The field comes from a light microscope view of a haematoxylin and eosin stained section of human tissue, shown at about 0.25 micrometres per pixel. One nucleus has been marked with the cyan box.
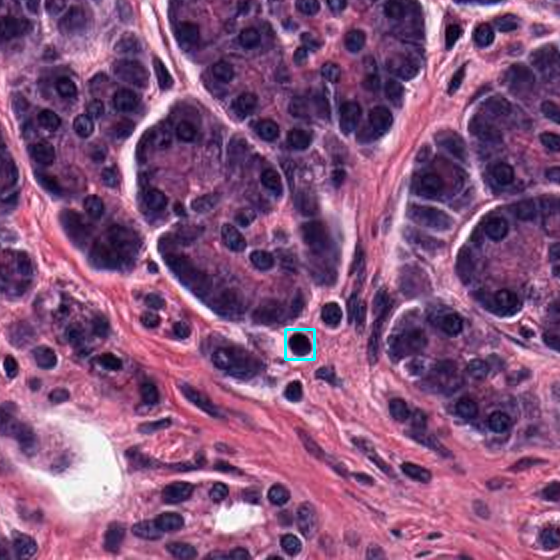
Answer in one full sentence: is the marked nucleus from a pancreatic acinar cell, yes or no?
No, a supporting cell rather than a pancreatic acinar cell is the cell of the marked nucleus.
